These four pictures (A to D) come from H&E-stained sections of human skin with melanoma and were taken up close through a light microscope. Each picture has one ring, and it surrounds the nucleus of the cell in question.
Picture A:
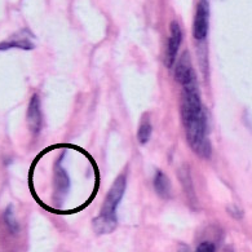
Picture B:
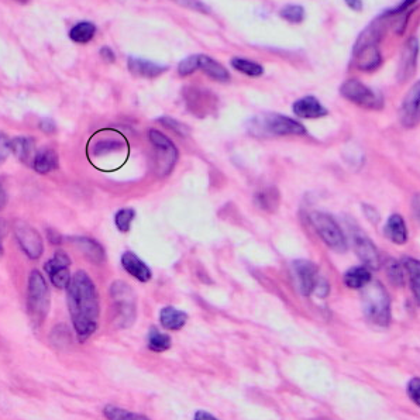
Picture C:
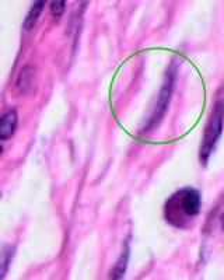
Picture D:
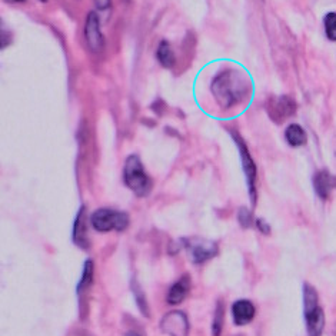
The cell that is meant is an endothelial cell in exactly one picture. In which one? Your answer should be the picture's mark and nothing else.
B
